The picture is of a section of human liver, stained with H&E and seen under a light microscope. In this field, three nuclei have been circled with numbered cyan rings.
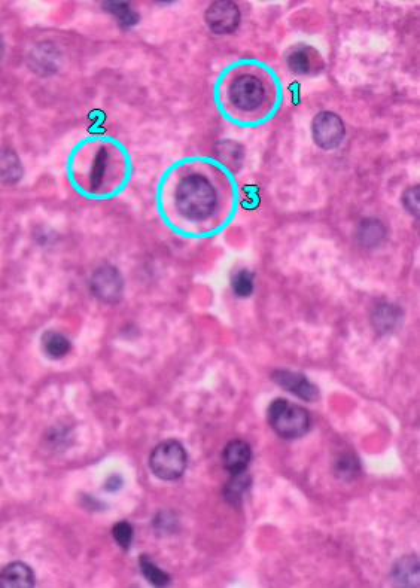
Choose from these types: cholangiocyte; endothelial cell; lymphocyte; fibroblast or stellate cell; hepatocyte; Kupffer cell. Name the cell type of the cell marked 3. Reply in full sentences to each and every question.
Within this field of view, the cell labelled 3 is a hepatocyte.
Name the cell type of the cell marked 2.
The cell numbered 2 has been identified as an endothelial cell.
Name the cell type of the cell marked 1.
The label 1 in this section denotes a hepatocyte.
